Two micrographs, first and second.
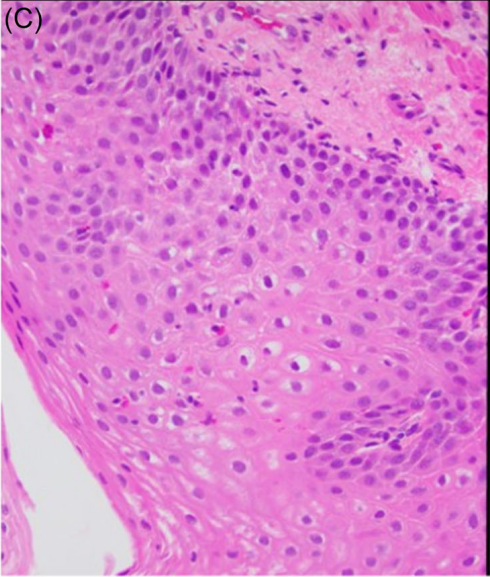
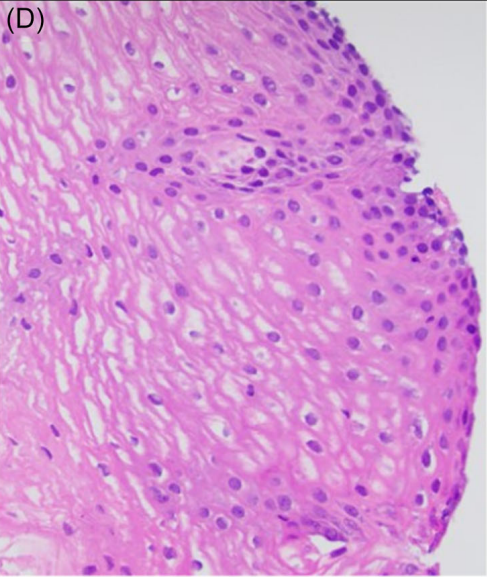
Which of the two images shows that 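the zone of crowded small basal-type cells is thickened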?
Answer: the first image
